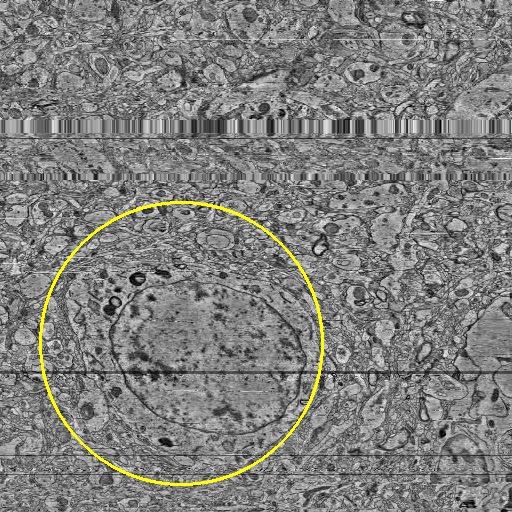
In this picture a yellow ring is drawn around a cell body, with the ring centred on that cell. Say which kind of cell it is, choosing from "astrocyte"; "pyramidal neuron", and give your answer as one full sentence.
Here it is a pyramidal neuron that sits at the centre of the drawn yellow ring.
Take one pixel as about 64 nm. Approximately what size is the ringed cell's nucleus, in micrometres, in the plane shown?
The nucleus of the ringed cell is approximately 13 by 10 micrometres in this plane.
